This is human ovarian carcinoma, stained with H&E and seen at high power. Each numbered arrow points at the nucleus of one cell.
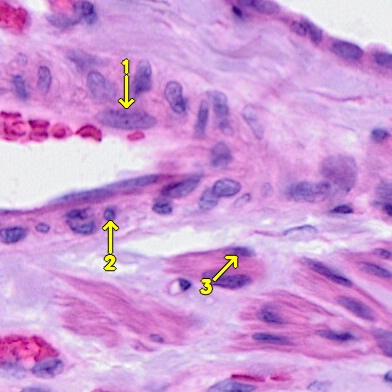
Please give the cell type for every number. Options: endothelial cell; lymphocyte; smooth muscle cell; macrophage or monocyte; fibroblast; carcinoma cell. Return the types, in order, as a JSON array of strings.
["endothelial cell", "smooth muscle cell", "smooth muscle cell"]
